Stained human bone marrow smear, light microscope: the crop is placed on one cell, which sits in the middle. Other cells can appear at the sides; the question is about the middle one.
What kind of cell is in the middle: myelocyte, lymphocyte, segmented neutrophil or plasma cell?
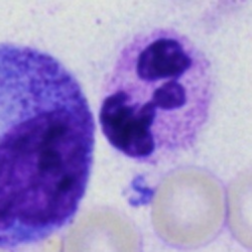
segmented neutrophil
